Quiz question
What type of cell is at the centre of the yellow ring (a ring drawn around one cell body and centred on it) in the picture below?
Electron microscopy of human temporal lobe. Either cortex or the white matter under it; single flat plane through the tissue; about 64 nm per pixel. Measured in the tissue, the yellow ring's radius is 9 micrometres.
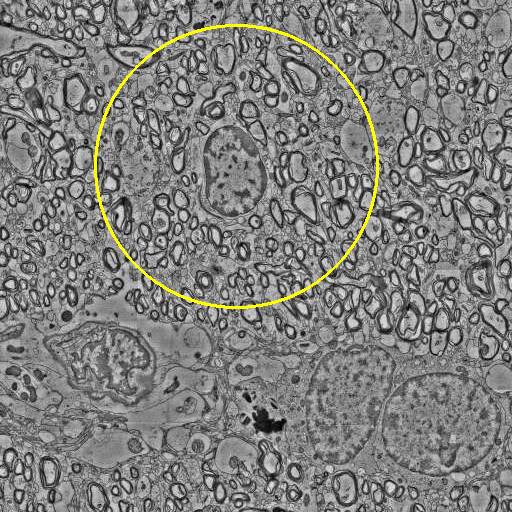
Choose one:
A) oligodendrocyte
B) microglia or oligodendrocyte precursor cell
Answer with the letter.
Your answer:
B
